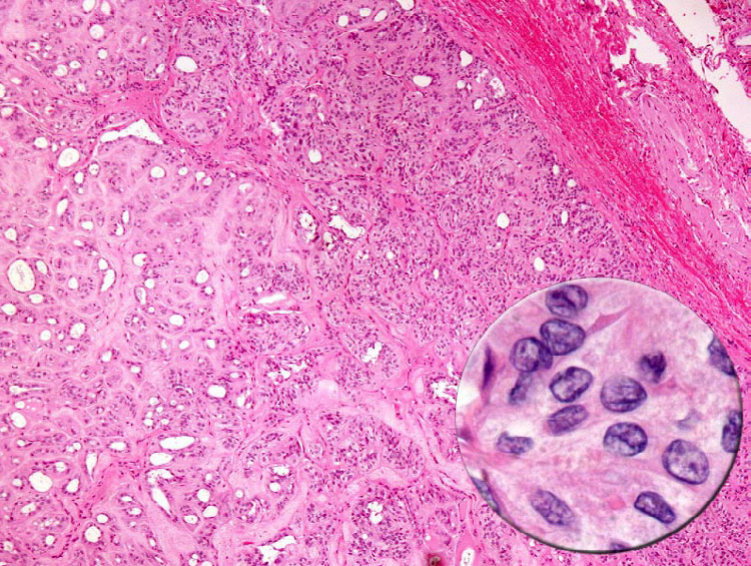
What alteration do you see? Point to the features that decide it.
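Encapsulation. A dense band of deep pink fibrous tissue runs along the upper right edge of the cellular area. The cellular area ends sharply against this band.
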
